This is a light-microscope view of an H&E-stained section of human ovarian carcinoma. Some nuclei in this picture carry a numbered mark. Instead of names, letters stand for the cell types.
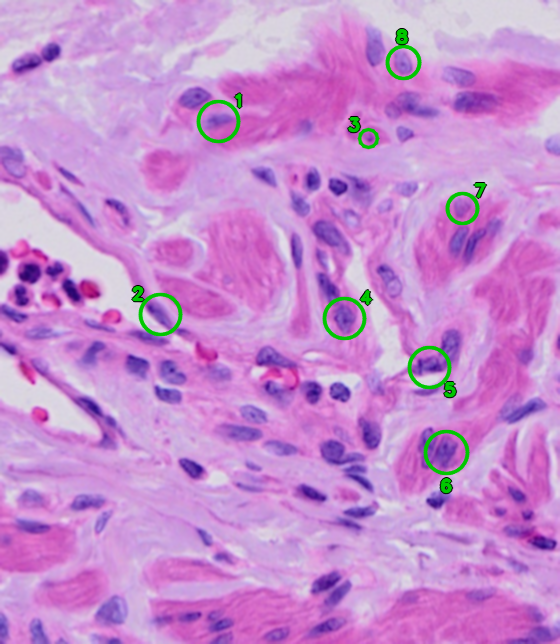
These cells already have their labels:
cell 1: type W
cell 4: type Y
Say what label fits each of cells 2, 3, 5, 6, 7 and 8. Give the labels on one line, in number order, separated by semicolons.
type Y; type W; type Y; type W; type W; type W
